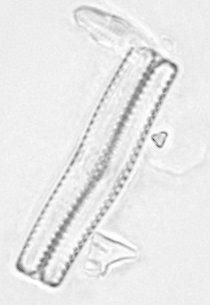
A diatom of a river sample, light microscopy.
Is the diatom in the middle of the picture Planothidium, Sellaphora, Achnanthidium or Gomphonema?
It is Planothidium.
